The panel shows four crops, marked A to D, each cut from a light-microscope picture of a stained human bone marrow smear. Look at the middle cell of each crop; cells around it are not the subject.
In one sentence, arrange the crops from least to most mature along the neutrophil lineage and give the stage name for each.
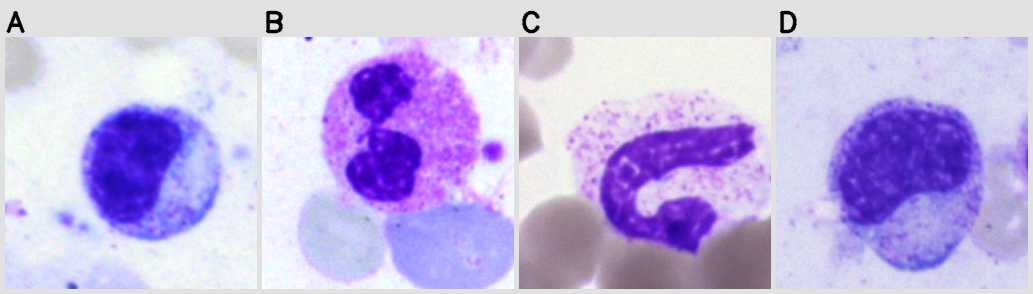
In ascending order of maturity, the sequence is crop A (a myelocyte), crop D (a metamyelocyte), crop C (a band neutrophil) and crop B (a segmented neutrophil).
